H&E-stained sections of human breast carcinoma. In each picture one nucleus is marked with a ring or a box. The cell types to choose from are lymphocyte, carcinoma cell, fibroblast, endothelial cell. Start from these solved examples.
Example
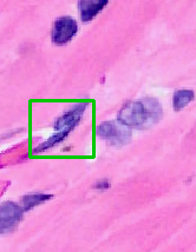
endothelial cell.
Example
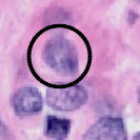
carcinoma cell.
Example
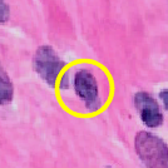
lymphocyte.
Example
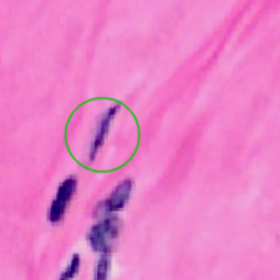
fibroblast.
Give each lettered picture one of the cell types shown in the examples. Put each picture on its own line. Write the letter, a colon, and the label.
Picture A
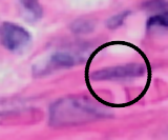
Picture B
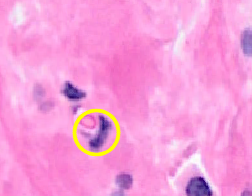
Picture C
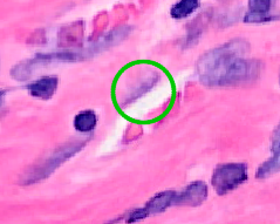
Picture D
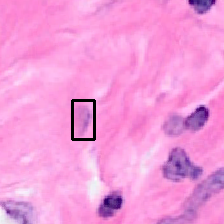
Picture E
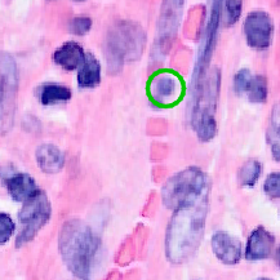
A: endothelial cell.
B: endothelial cell.
C: endothelial cell.
D: fibroblast.
E: endothelial cell.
